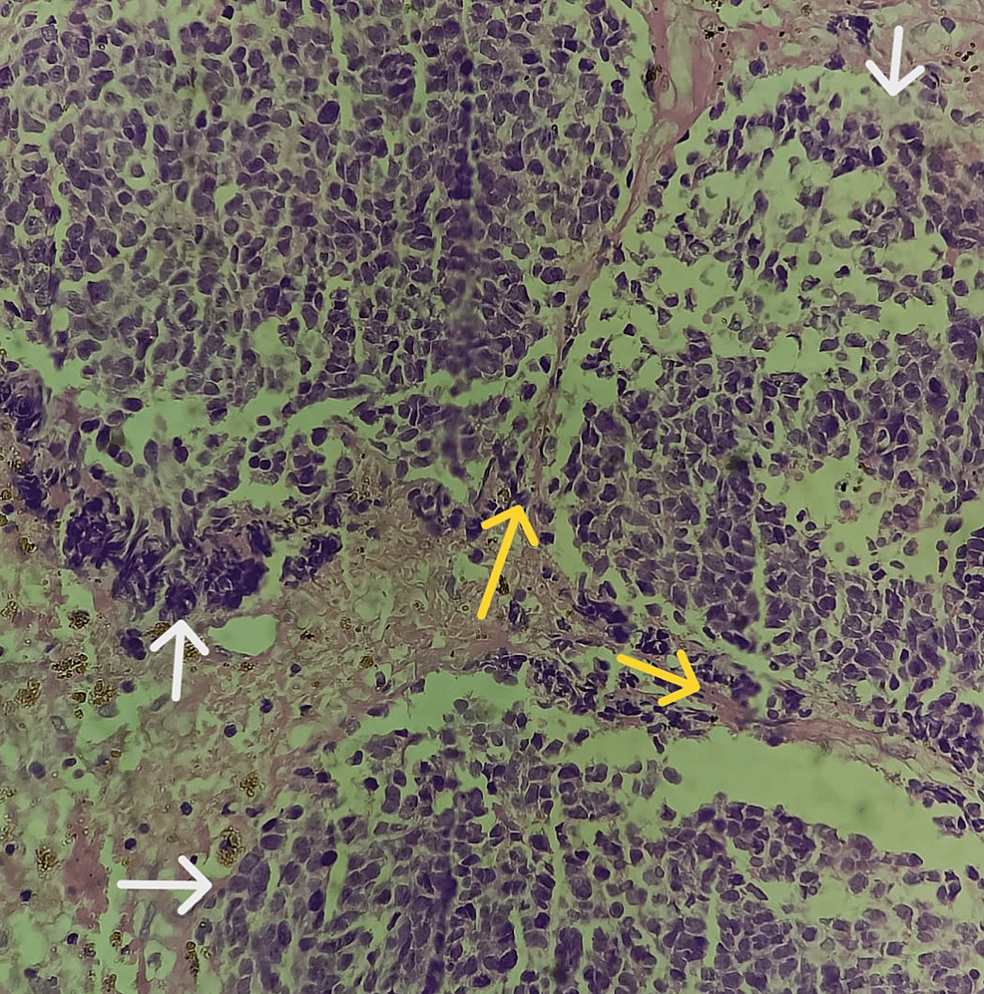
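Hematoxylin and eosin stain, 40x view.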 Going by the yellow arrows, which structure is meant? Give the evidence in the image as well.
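Thin pink fibrous strands run between the crowded cell groups. The strands contain sparse, elongated, spindle-shaped nuclei. The strands divide the densely cellular areas into separate compartments.
Fibrovascular septa.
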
